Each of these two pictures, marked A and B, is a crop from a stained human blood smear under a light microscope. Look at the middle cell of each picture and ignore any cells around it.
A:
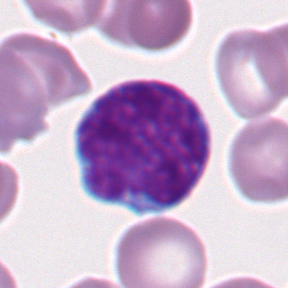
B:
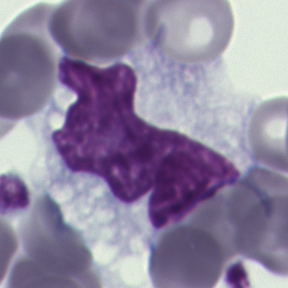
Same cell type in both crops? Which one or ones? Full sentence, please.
No, crop B centres on a monocyte, and crop A centres on a myeloblast.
